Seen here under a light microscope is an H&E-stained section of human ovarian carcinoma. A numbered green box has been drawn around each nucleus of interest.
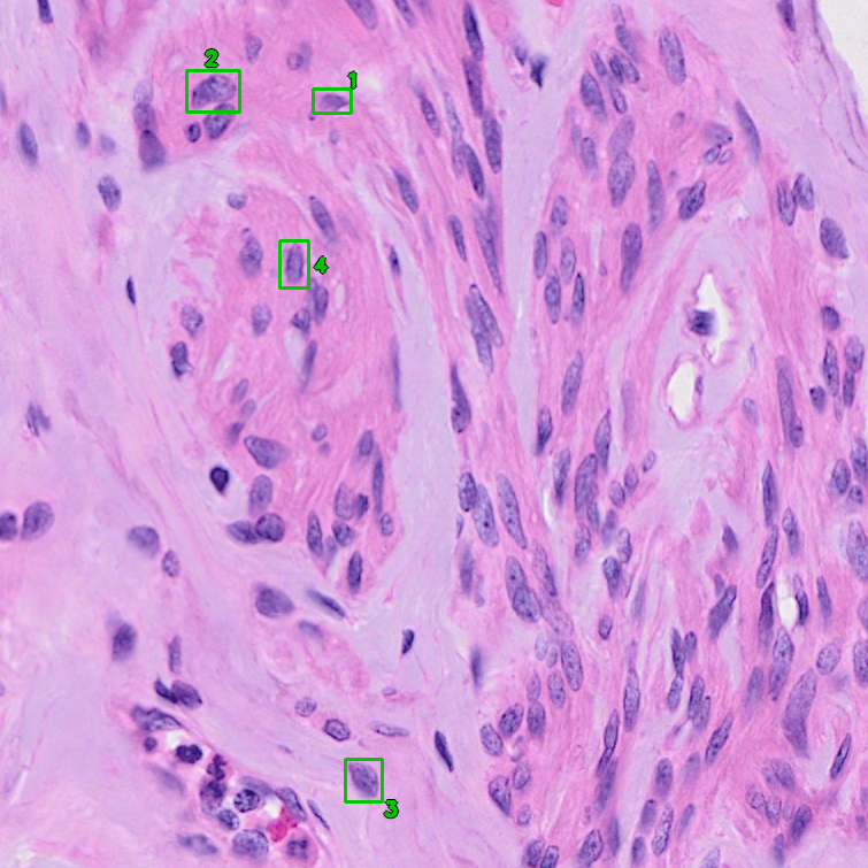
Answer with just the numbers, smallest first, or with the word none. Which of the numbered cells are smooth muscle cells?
1, 2, 4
